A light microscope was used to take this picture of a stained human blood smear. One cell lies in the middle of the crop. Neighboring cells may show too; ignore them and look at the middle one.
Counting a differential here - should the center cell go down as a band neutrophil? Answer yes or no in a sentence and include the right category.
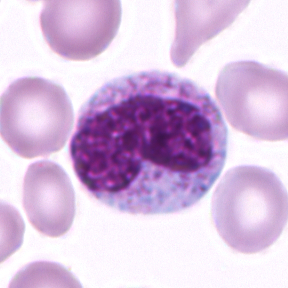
Yes, in this crop the cell in the middle is a band neutrophil.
